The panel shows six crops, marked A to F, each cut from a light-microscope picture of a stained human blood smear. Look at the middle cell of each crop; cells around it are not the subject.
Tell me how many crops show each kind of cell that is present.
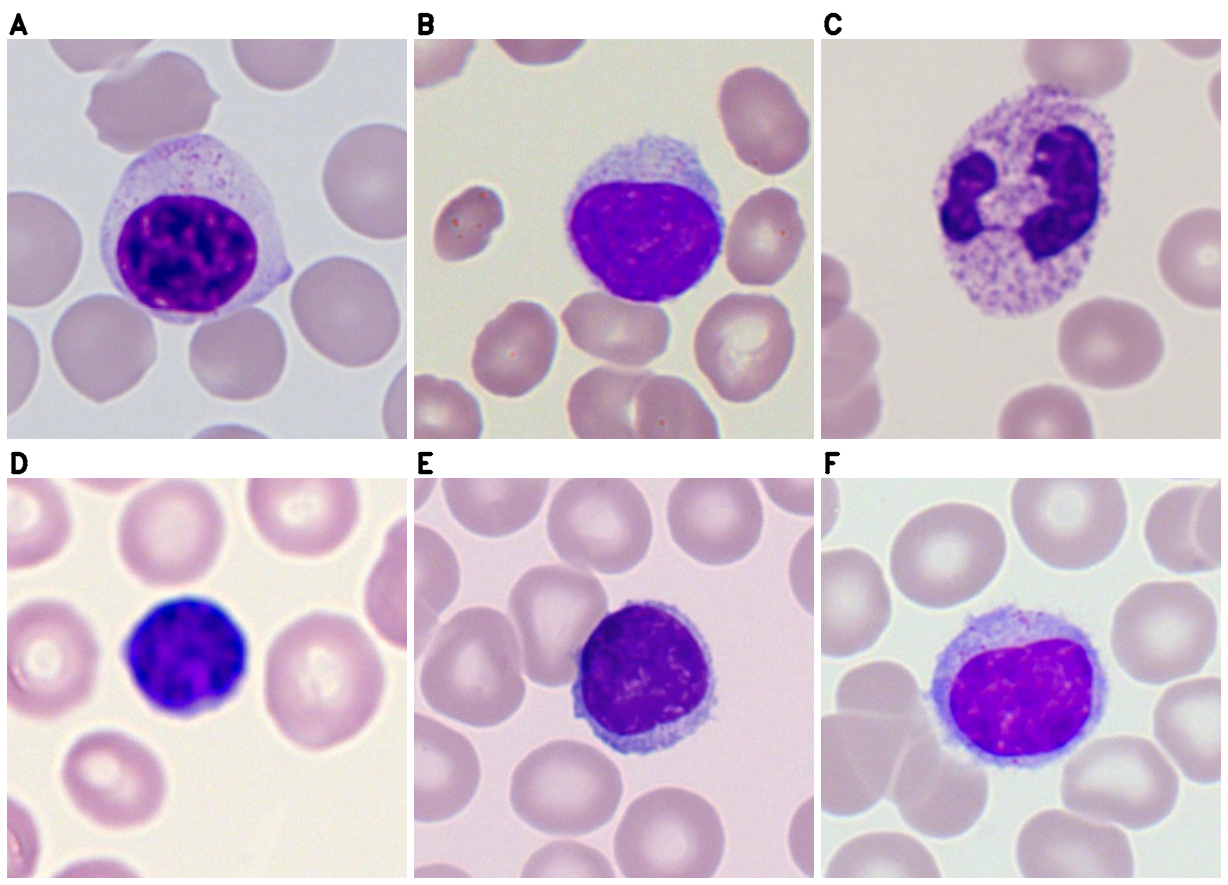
lymphocyte: 5
segmented neutrophil: 1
